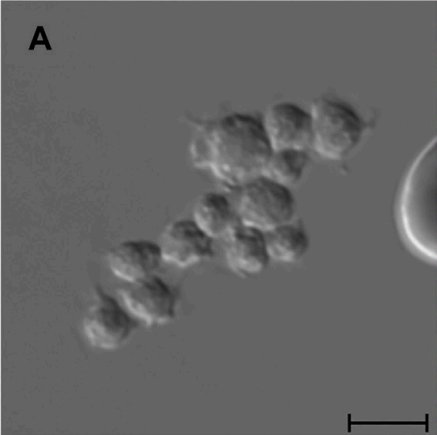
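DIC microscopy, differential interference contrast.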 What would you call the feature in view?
Platelet-aggregate.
